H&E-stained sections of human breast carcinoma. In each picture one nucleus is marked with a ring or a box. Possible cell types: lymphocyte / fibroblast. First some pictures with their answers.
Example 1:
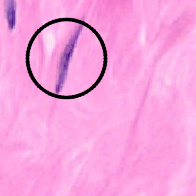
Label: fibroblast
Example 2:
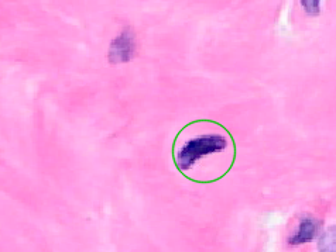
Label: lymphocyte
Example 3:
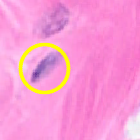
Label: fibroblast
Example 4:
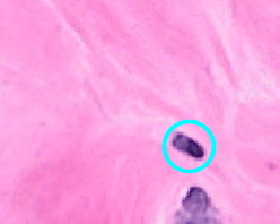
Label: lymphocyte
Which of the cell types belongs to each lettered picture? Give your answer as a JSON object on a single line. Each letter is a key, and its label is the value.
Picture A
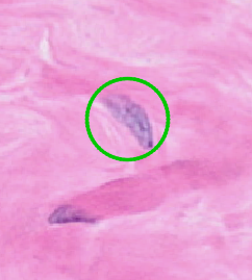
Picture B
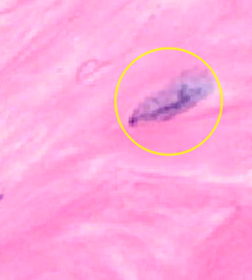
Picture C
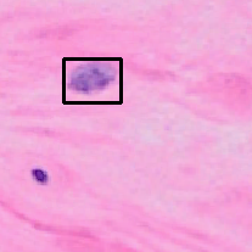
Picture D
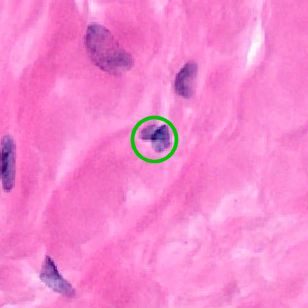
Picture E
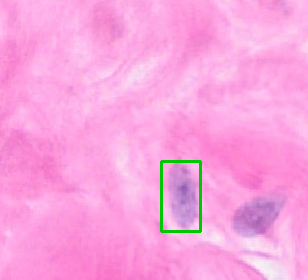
{"A": "fibroblast", "B": "fibroblast", "C": "fibroblast", "D": "lymphocyte", "E": "fibroblast"}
